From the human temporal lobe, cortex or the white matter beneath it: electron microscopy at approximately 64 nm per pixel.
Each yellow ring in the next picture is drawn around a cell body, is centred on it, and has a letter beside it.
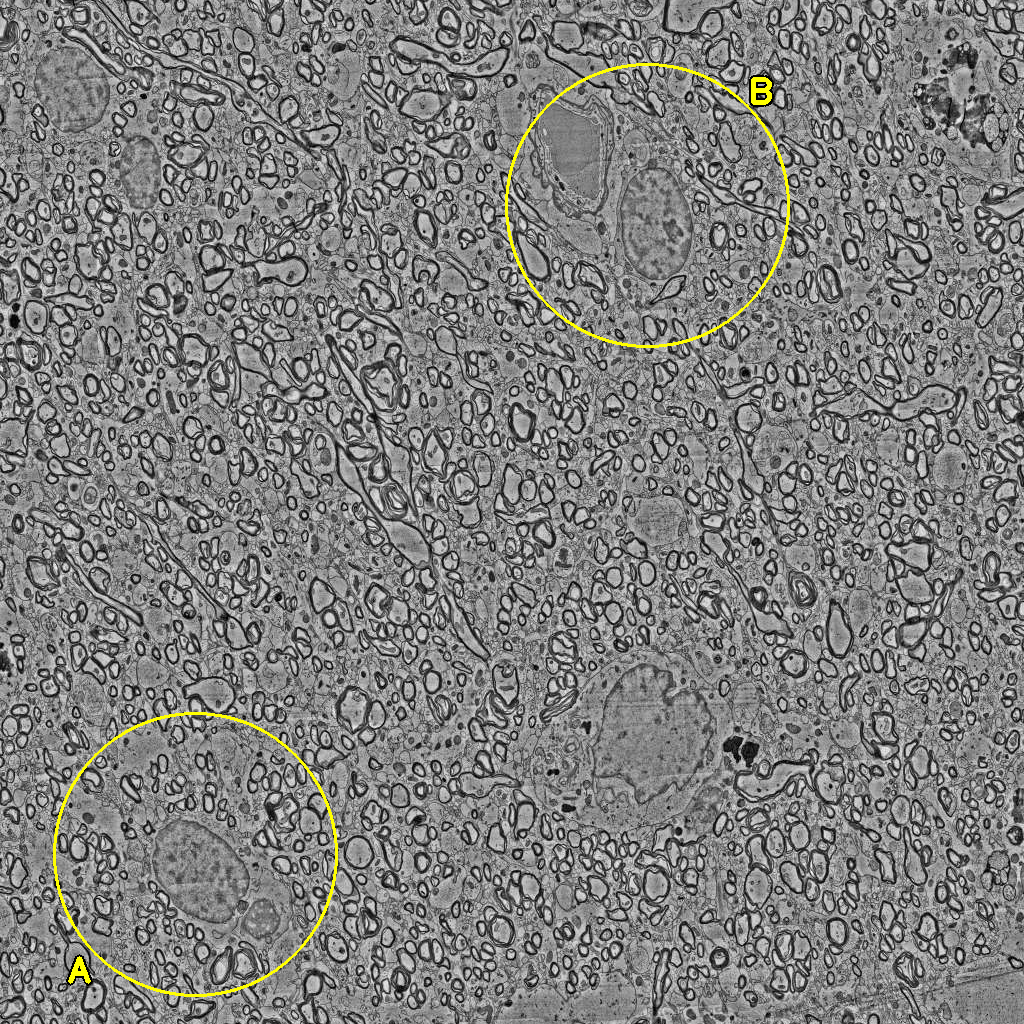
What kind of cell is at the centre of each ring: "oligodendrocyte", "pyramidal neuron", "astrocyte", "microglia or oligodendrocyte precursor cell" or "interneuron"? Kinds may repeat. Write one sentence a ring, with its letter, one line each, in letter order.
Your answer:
The centre of ring A falls on an oligodendrocyte.
The centre of ring B falls on an oligodendrocyte.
